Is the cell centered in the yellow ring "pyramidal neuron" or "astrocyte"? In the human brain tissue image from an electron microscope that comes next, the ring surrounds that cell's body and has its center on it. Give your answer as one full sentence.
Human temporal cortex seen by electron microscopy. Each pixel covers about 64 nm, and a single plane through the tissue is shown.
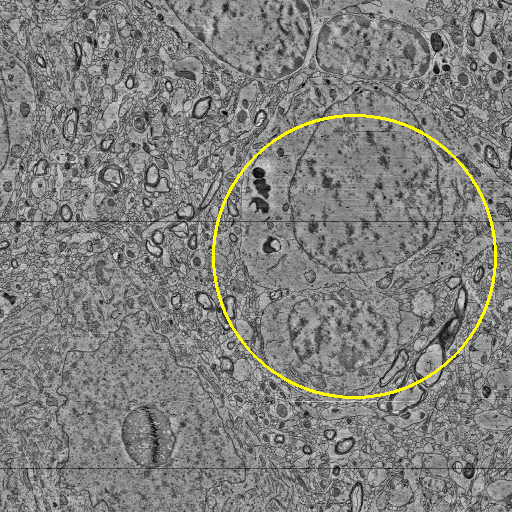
The cell at the center of the yellow ring is a pyramidal neuron in the micrograph.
